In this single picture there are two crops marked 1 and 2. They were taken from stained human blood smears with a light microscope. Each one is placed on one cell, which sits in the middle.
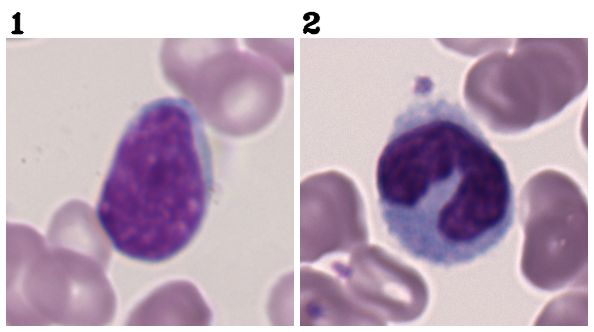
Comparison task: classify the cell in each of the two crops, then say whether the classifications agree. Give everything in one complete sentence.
No, just to correct that: crop 1 shows a myeloblast, crop 2 shows a monocyte.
